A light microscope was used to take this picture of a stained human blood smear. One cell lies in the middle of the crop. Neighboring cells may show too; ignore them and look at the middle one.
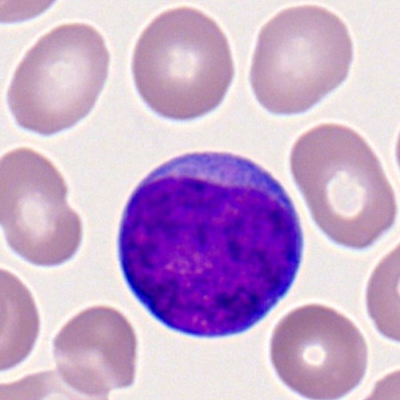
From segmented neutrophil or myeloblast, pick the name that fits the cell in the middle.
myeloblast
